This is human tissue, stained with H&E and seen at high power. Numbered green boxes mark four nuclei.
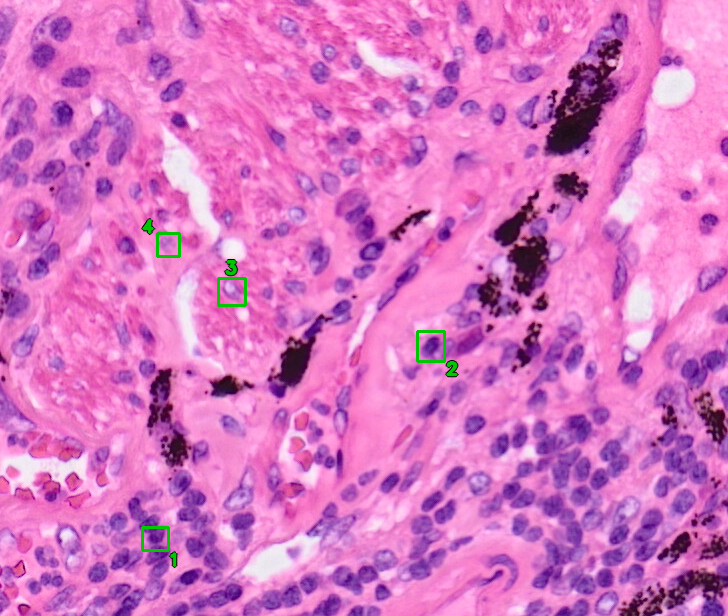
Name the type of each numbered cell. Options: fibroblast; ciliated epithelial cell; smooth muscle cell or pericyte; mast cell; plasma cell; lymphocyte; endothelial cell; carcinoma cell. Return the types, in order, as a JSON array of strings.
["lymphocyte", "lymphocyte", "smooth muscle cell or pericyte", "smooth muscle cell or pericyte"]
